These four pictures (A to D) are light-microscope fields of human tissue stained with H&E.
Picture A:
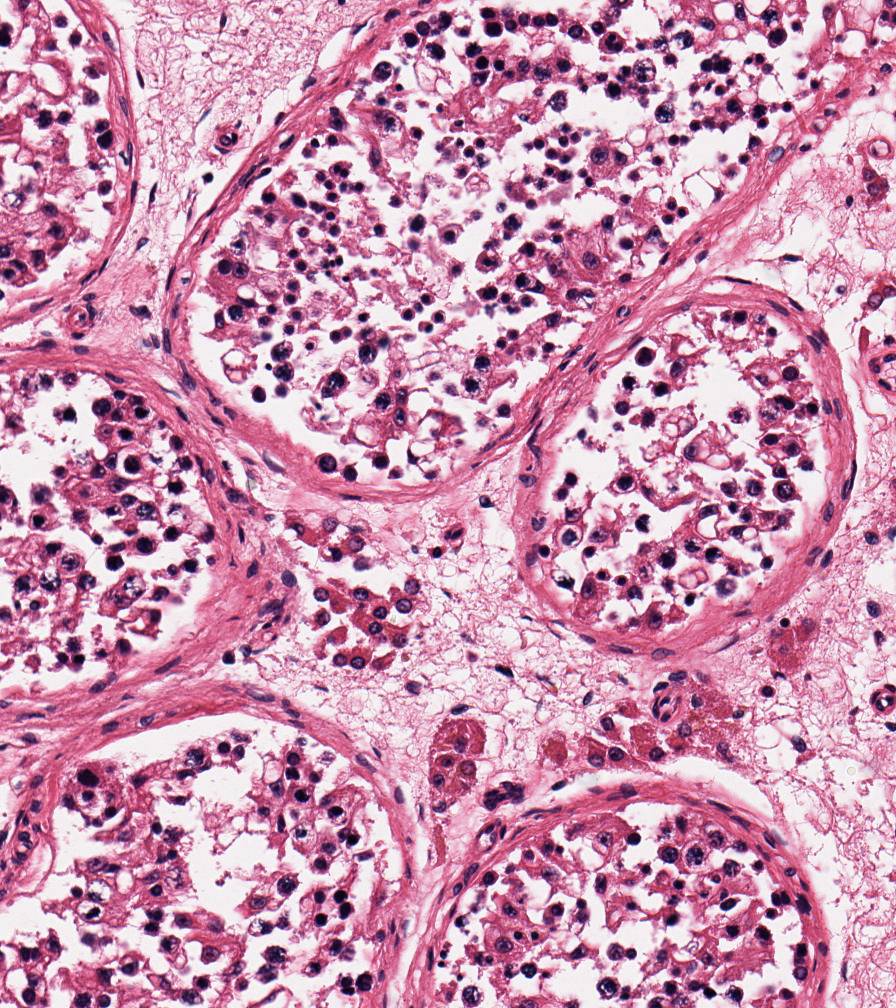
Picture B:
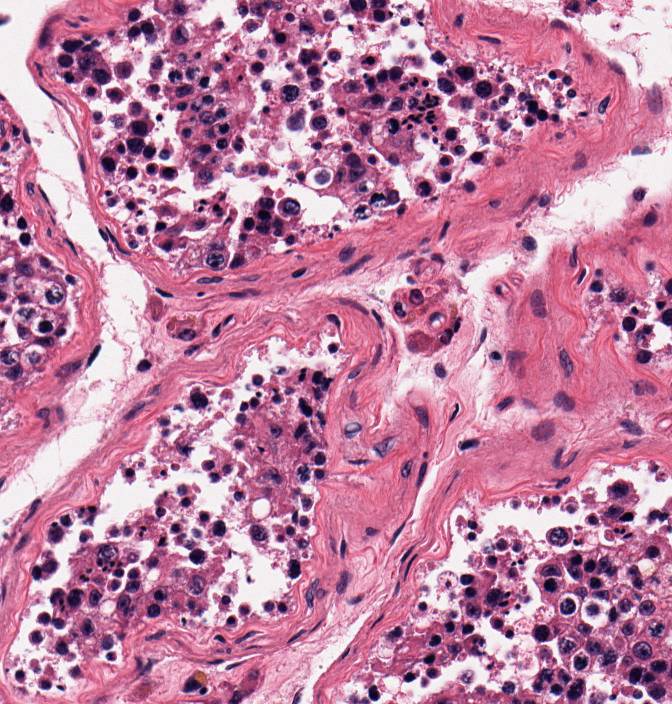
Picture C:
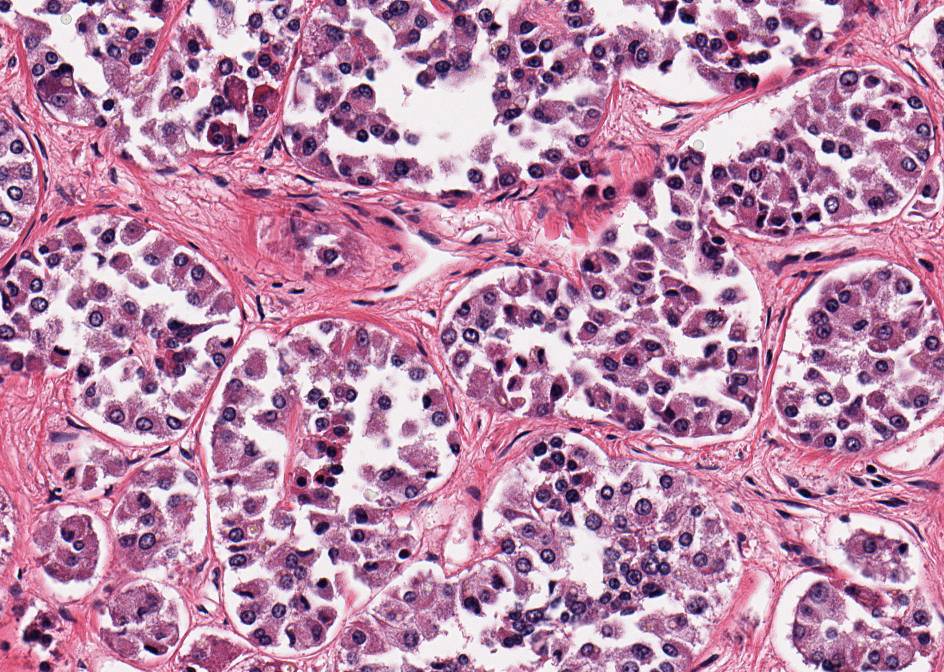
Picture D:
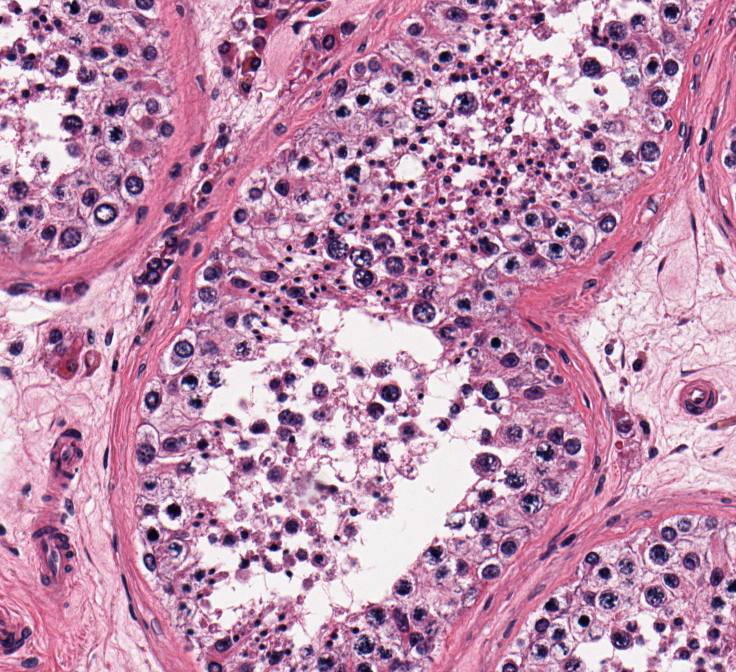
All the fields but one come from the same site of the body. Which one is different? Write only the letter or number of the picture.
C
